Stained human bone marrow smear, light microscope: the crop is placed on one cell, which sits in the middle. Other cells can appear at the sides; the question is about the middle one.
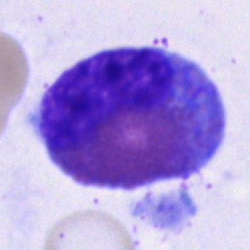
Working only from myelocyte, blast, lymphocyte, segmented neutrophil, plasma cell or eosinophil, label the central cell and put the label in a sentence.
What sits at the centre of this crop is an eosinophil.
